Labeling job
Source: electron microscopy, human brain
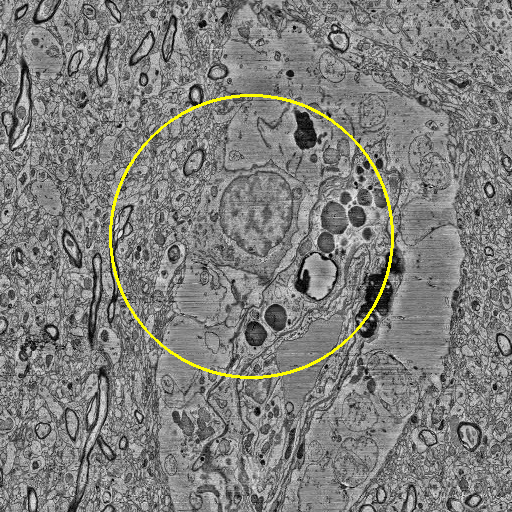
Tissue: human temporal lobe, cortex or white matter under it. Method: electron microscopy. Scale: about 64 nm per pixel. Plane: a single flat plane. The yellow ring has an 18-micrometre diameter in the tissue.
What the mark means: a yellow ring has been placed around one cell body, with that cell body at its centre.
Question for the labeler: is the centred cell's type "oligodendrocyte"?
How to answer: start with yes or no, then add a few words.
Yes, that is its type.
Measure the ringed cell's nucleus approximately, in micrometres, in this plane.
In this plane, approximately 6 by 5 micrometers.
